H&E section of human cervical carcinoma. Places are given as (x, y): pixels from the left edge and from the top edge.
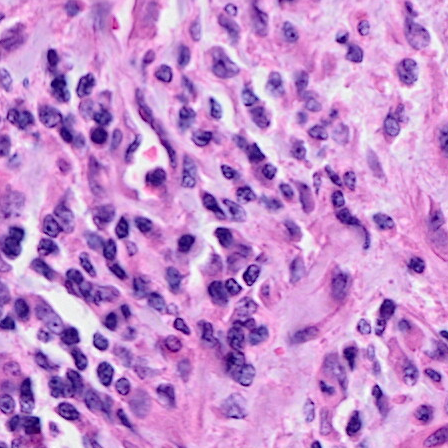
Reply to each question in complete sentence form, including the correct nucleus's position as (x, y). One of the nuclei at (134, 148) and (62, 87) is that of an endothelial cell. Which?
Located at (134, 148), this nucleus is the one belonging to an endothelial cell.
